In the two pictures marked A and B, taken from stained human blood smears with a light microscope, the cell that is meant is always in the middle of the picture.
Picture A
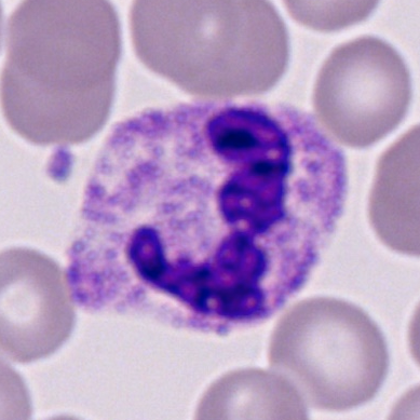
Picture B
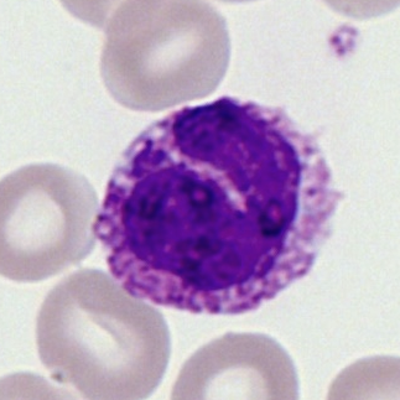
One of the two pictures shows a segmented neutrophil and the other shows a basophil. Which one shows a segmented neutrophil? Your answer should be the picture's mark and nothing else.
A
